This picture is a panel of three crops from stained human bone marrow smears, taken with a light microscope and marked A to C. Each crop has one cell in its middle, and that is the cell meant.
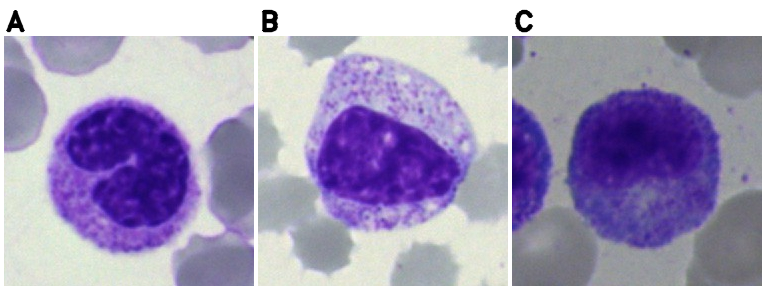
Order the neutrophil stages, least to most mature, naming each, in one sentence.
Ranked by maturation stage, earliest first, the crops read crop C (a promyelocyte), crop B (a metamyelocyte) and crop A (a band neutrophil).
